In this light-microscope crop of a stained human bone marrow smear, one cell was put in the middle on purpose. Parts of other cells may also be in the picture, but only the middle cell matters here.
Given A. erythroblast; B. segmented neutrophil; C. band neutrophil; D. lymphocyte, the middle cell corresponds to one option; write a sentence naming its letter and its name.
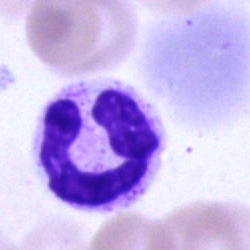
Given that the cell in the middle is a segmented neutrophil, option B is correct.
